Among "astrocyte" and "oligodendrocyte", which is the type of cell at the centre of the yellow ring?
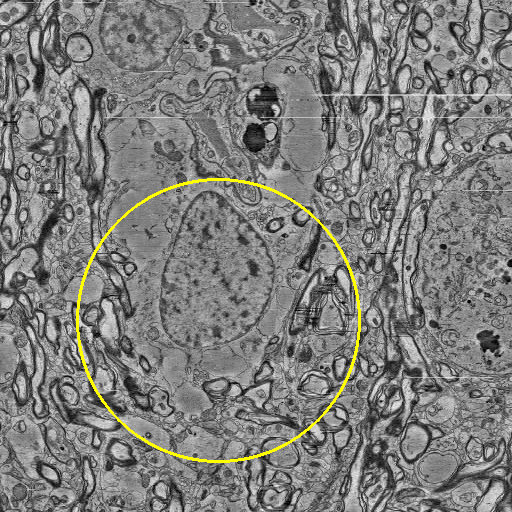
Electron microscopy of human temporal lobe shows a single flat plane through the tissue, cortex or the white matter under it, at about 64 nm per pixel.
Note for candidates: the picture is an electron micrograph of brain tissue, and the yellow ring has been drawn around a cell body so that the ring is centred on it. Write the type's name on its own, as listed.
astrocyte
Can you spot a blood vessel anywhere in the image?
Yes, there is a blood vessel.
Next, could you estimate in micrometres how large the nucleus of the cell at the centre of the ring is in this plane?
Roughly 10 micrometres by 7 micrometres, in this plane.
